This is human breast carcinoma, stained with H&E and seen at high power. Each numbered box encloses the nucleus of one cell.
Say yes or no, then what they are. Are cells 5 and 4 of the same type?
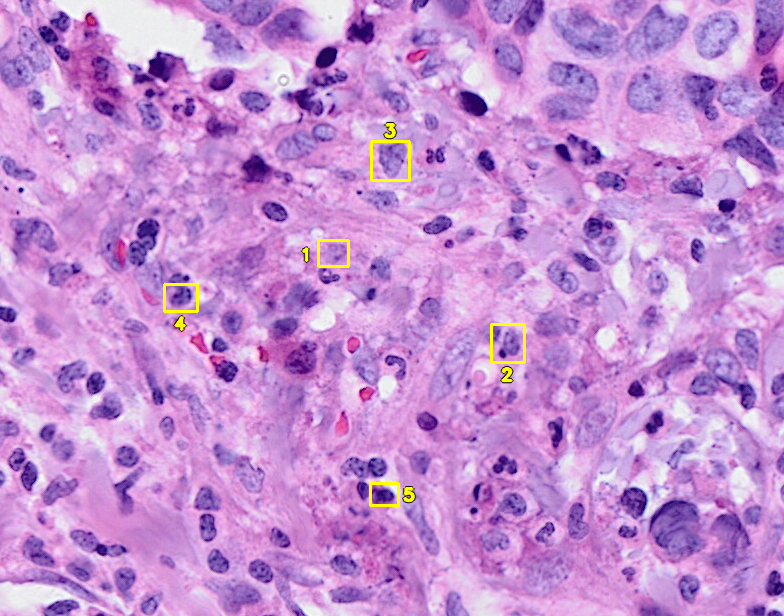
Yes, by their numbers, cells 5 and 4 are both lymphocytes.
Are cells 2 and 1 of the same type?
Yes, just like cell 2, cell 1 is one of the macrophages, monocytes or dendritic cells.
